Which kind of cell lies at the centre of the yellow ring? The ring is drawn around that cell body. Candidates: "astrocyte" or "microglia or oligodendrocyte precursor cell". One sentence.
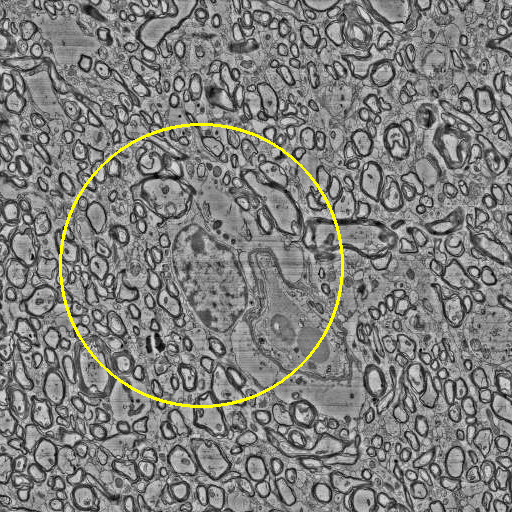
Lying at the centre of the ring is a microglial cell or oligodendrocyte precursor cell.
